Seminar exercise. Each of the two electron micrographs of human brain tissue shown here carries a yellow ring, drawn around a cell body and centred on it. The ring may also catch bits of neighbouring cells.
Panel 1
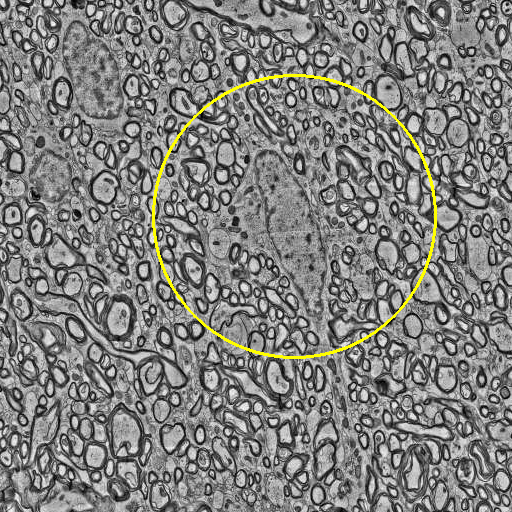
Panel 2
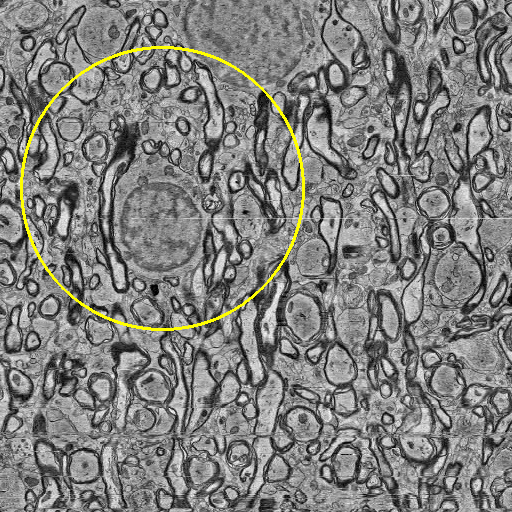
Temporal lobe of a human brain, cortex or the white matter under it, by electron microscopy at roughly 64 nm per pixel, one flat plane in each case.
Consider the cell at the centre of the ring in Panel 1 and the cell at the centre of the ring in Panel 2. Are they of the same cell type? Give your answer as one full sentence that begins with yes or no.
No, the two cells are of two types.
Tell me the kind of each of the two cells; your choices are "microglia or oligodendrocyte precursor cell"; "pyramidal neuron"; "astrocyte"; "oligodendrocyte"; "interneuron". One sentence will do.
The ringed cell is an astrocyte in the first picture and an oligodendrocyte in the second picture.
